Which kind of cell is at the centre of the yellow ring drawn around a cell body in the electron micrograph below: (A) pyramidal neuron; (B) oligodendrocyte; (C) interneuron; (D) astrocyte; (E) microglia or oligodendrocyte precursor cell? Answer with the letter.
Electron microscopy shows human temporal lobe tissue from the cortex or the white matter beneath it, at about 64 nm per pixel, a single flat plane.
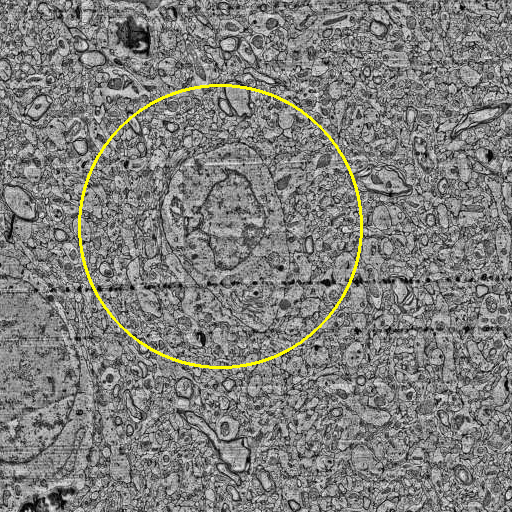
A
